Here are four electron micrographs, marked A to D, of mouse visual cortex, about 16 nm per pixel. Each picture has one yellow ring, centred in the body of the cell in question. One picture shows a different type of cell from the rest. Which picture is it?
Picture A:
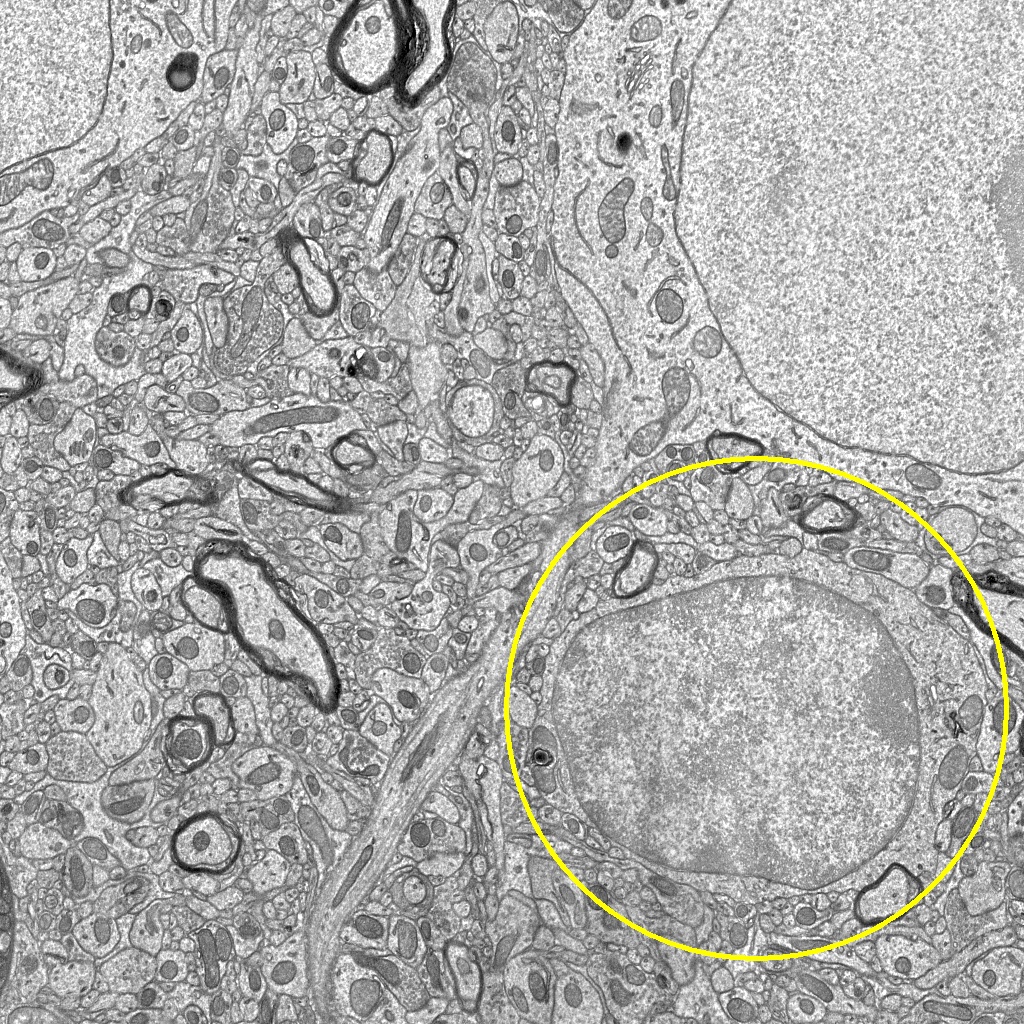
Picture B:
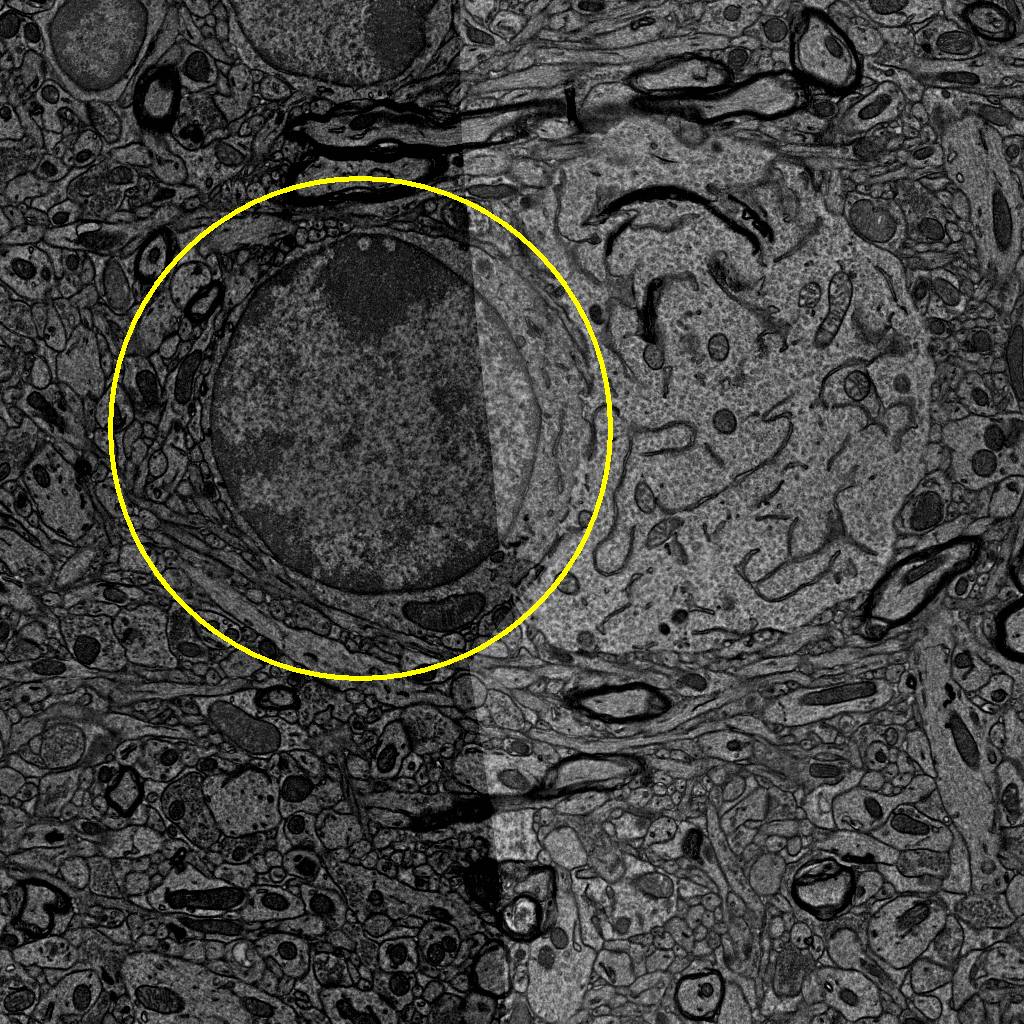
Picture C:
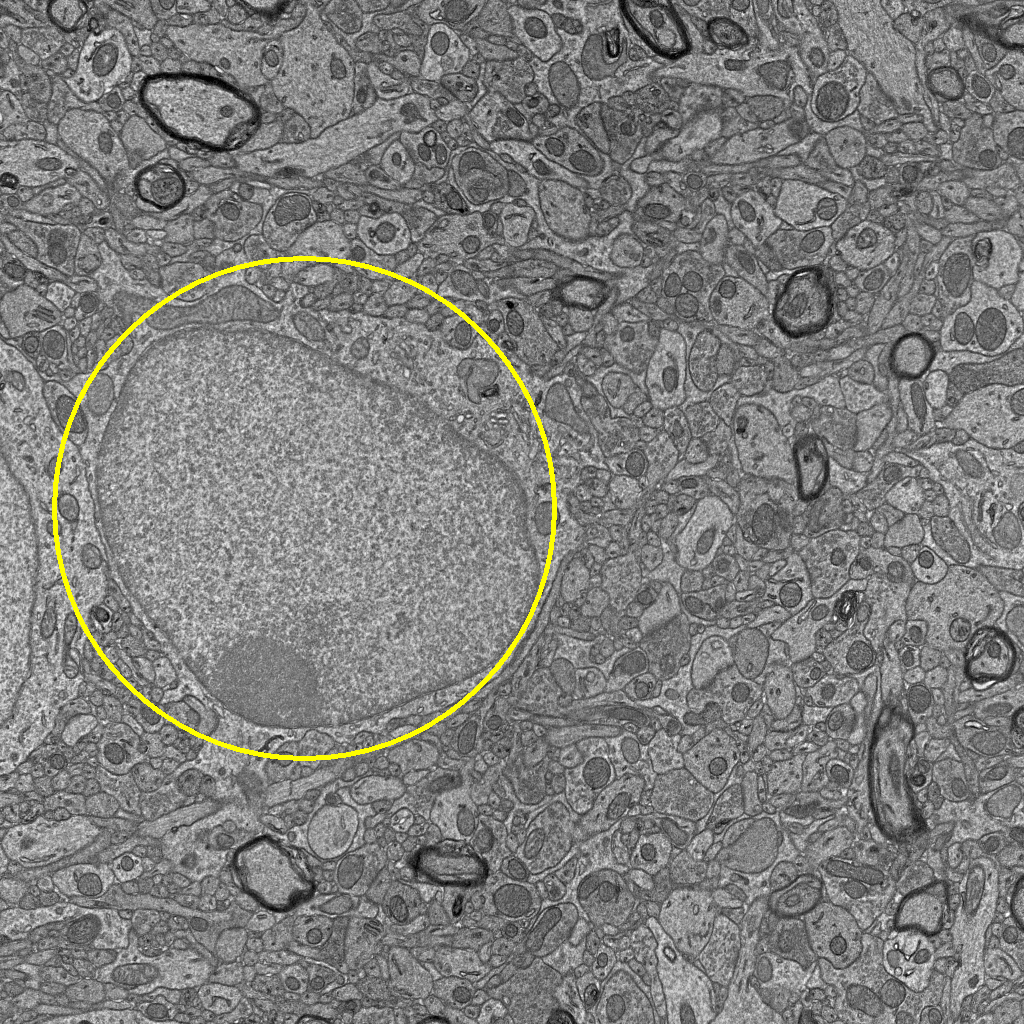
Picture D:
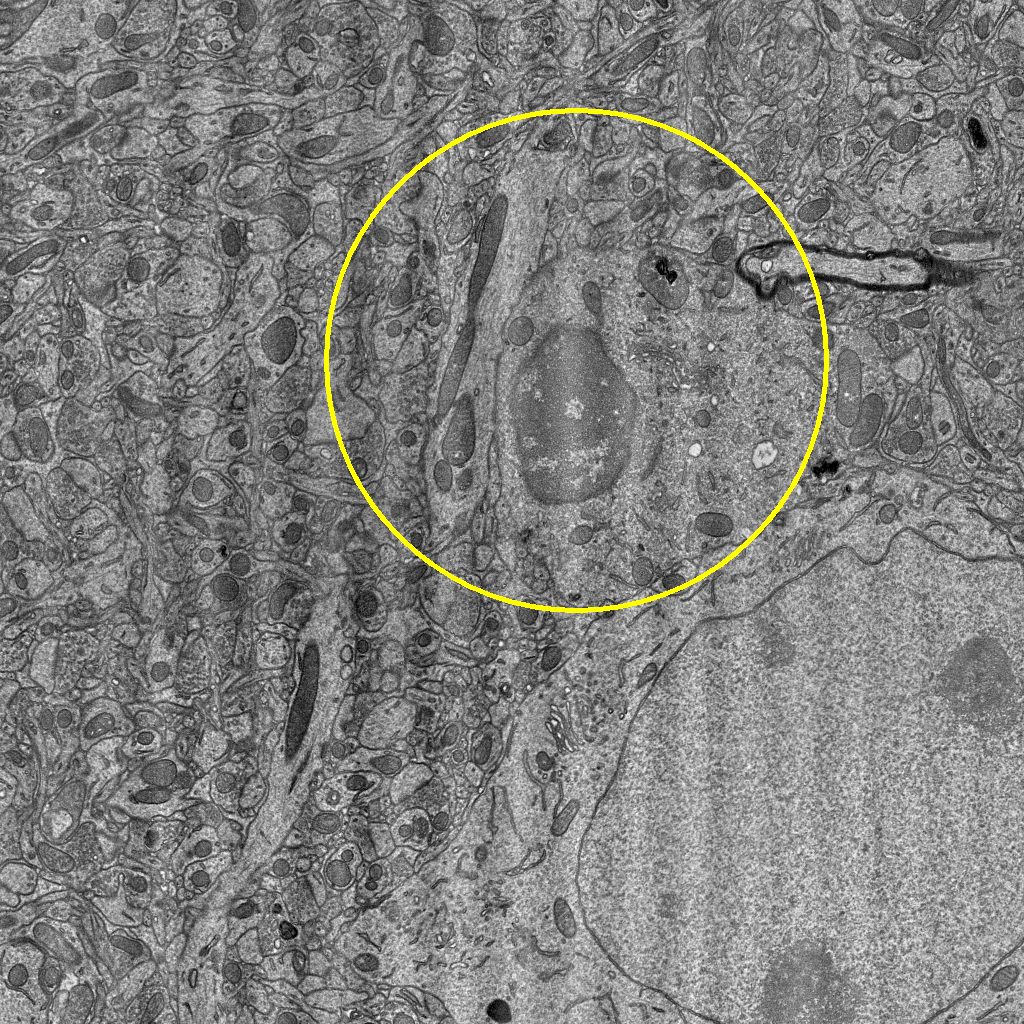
The others show oligodendrocytes, but picture C shows an astrocyte.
